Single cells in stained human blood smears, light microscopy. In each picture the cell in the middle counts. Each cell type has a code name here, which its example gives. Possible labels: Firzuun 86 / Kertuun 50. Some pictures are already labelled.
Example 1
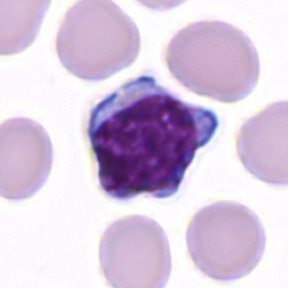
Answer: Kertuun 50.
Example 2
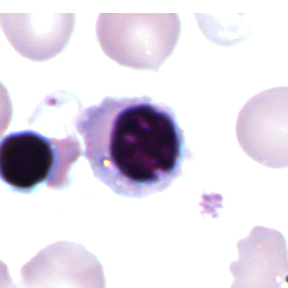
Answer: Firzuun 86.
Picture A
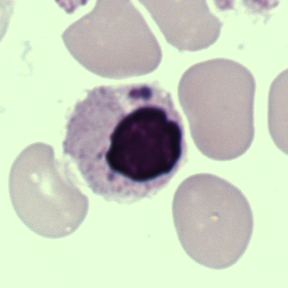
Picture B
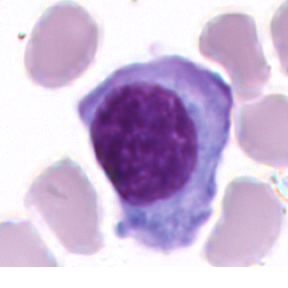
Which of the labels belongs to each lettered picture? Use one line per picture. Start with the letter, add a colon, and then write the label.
A: Firzuun 86.
B: Kertuun 50.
